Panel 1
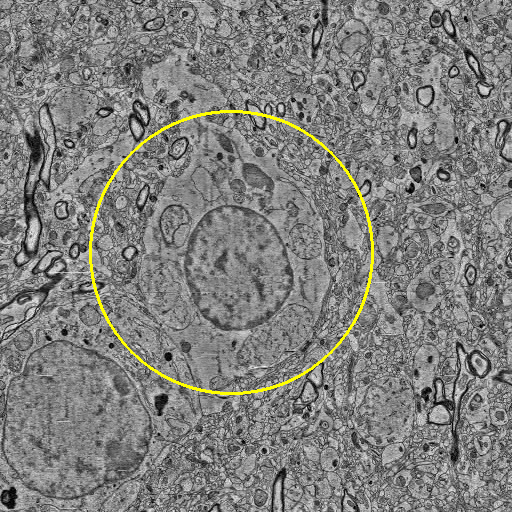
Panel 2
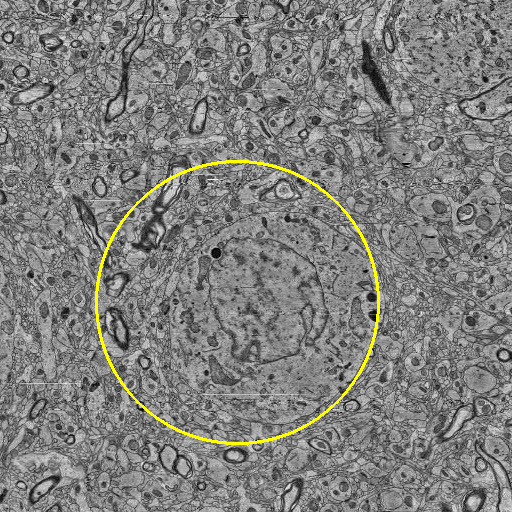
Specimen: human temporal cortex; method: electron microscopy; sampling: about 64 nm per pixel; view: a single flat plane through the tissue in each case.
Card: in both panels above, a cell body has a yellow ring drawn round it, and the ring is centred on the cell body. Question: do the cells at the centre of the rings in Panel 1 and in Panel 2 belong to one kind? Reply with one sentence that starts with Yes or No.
No, the cells centred in the rings of Panel 1 and Panel 2 are two kinds of cell.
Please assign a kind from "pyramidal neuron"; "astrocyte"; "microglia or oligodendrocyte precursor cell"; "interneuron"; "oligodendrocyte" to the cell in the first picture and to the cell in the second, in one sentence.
In the first picture we have an astrocyte, and in the second, a pyramidal neuron.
